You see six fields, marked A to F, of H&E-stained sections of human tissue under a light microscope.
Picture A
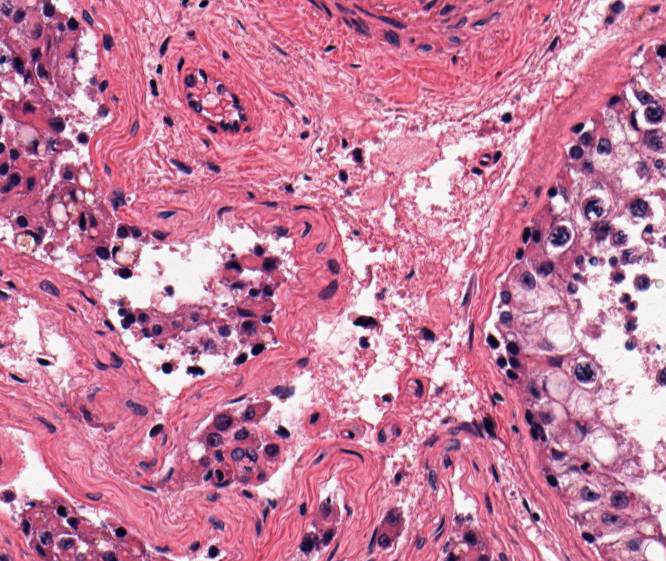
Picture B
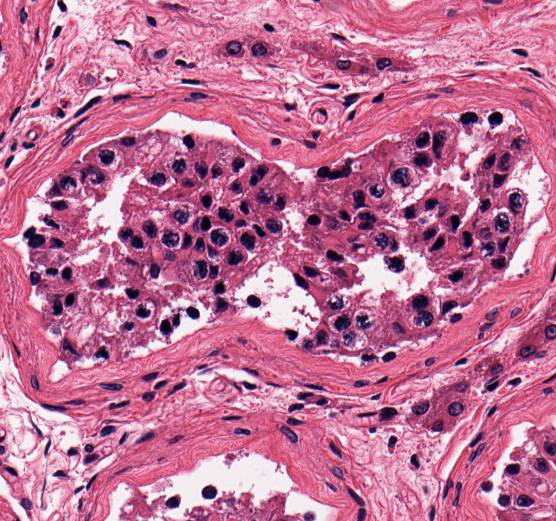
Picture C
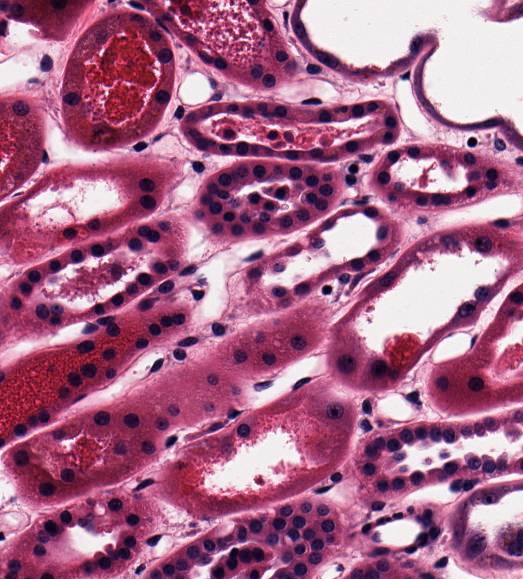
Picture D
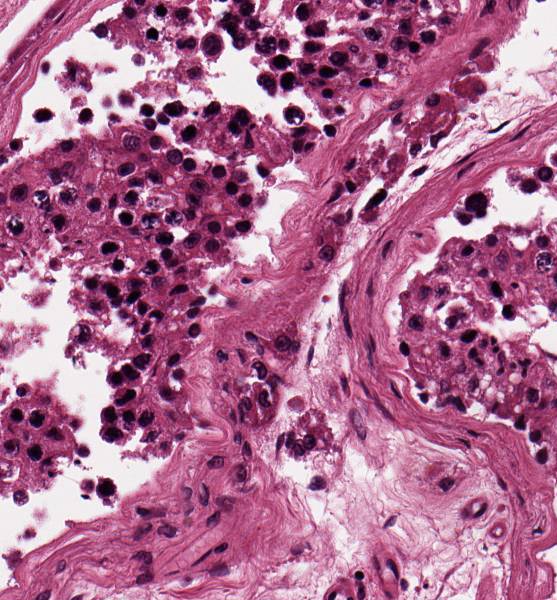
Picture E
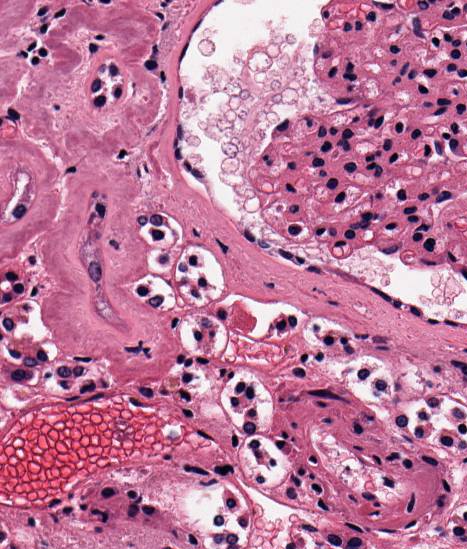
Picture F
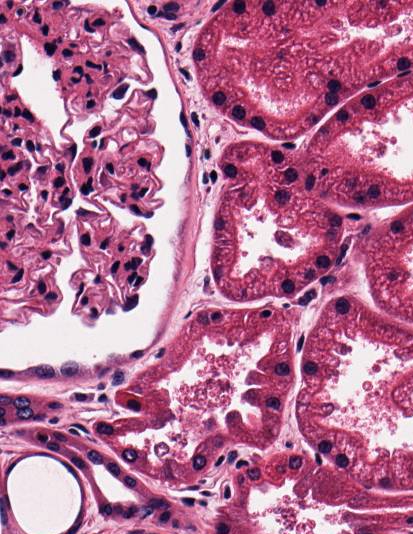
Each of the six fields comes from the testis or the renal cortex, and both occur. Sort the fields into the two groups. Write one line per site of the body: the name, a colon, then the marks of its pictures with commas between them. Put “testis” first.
testis: A, B, D
renal cortex: C, E, F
